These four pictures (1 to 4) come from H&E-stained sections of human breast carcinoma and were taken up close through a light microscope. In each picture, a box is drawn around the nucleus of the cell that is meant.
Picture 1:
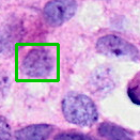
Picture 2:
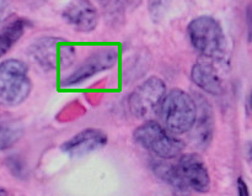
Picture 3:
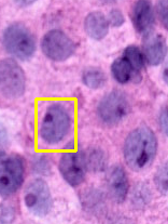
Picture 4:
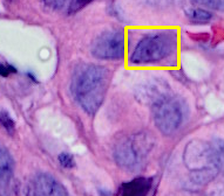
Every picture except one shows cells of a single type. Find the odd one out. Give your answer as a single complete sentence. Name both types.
All pictures except 2 show carcinoma cells; picture 2 shows an endothelial cell.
